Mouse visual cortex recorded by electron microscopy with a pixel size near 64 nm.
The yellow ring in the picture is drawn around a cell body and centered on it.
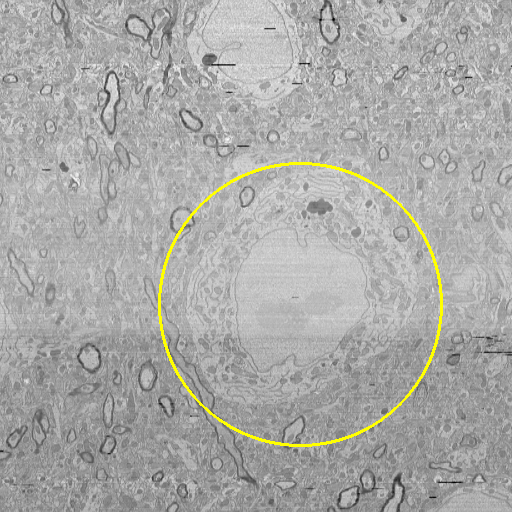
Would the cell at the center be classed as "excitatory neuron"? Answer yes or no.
No, it belongs to another class.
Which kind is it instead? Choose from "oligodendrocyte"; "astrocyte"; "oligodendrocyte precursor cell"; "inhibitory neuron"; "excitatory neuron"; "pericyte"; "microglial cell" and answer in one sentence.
The cell in question here is an inhibitory neuron.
